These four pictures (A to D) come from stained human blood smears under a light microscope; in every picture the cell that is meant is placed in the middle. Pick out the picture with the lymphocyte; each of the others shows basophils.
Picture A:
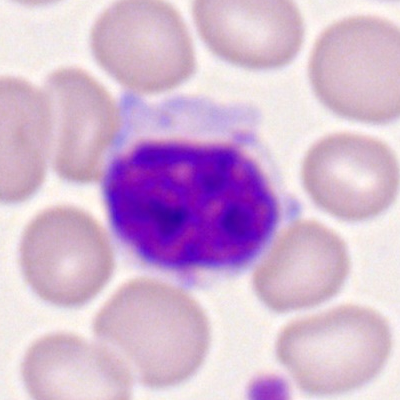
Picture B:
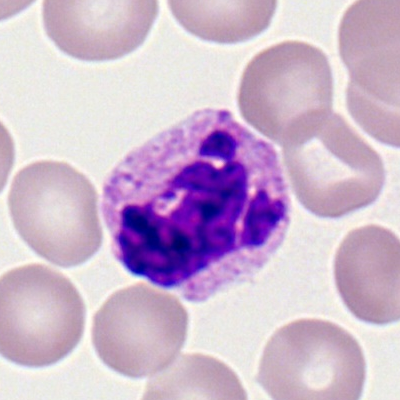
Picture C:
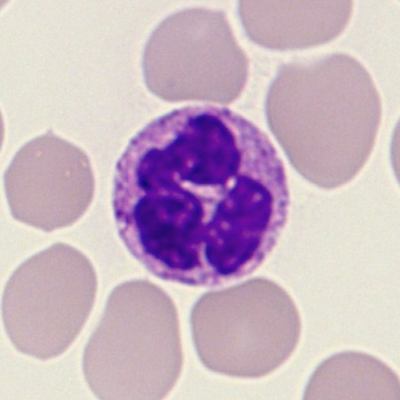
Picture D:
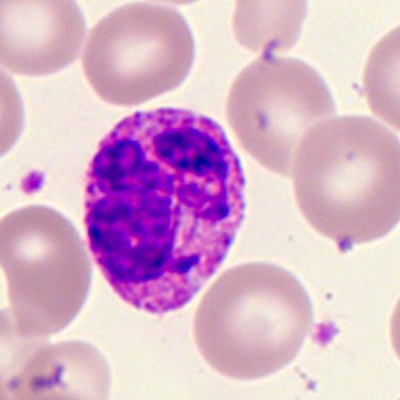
A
